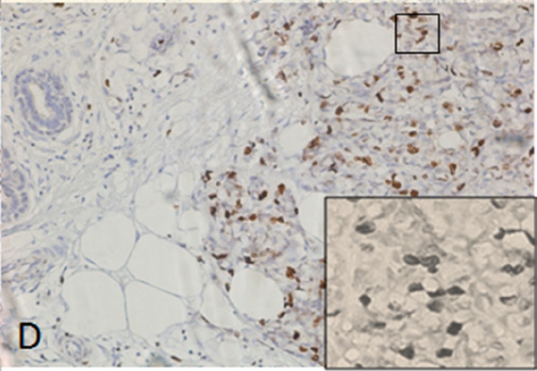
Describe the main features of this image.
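Loose groups of cells infiltrate fibrous stroma between fat cells, with a small duct lined by epithelium at the left. Many scattered cell nuclei are stained dark brown, while others are pale blue. The brown colour is confined to the nuclei, which are oval to irregular. Large empty fat cells lie among the cell groups, and the duct epithelium shows little brown colour.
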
